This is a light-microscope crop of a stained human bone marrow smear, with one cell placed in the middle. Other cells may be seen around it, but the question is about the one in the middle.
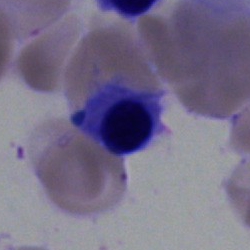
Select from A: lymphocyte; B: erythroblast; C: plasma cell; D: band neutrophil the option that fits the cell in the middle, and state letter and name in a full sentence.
Answer key: option B, the middle cell being an erythroblast.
